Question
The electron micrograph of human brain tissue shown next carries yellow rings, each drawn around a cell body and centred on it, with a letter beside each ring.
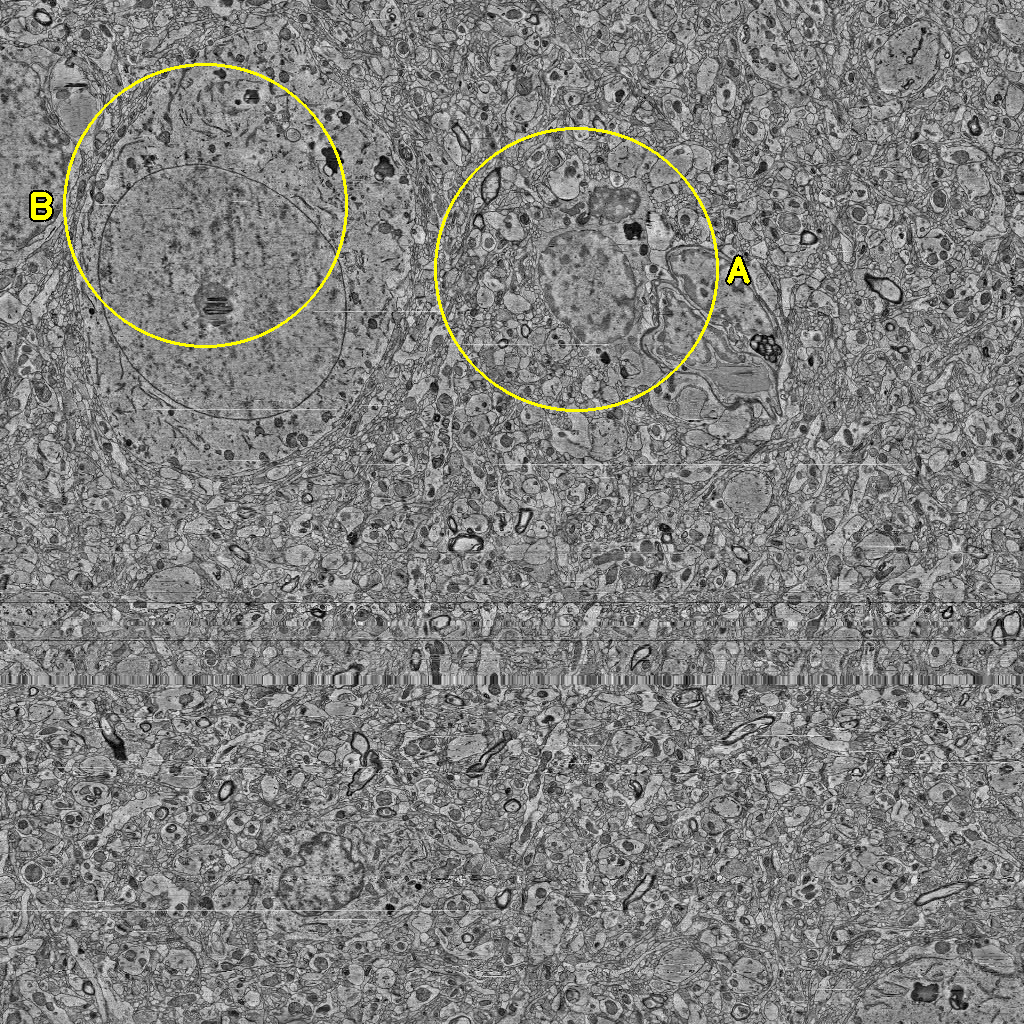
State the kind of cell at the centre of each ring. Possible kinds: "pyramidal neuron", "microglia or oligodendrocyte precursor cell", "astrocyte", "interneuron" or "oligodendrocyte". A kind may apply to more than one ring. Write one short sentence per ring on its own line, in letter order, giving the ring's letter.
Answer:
The cell centred in ring A is an oligodendrocyte.
The cell centred in ring B is a pyramidal neuron.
